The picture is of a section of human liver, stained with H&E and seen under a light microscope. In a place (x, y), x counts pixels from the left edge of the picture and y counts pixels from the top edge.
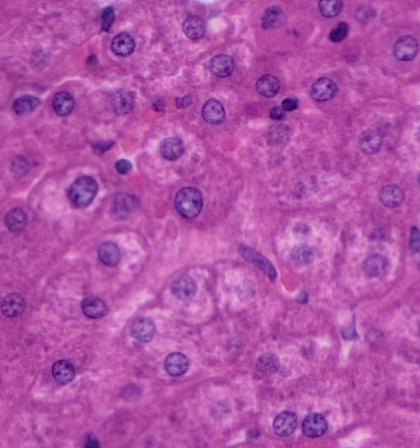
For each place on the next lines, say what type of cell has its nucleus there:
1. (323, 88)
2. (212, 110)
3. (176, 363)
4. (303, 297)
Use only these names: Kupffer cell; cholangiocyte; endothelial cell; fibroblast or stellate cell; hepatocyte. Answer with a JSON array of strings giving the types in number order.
["hepatocyte", "hepatocyte", "hepatocyte", "fibroblast or stellate cell"]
